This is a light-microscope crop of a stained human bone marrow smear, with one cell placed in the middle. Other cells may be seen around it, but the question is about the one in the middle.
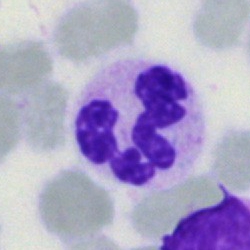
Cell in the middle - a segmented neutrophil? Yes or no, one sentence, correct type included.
Yes, the cell sitting in the middle of this smear crop is a segmented neutrophil.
